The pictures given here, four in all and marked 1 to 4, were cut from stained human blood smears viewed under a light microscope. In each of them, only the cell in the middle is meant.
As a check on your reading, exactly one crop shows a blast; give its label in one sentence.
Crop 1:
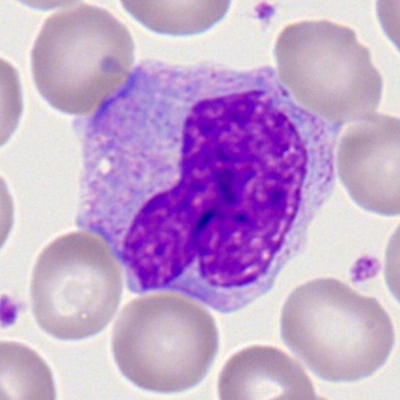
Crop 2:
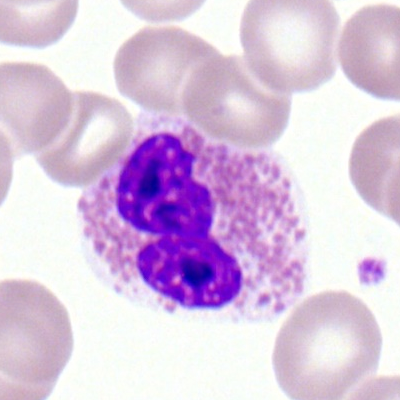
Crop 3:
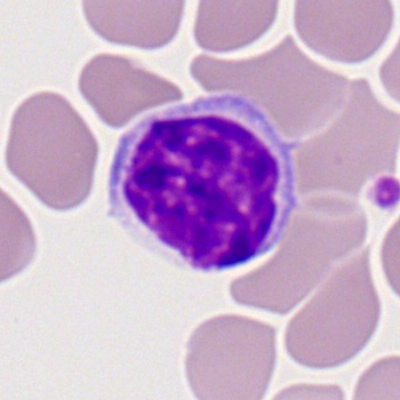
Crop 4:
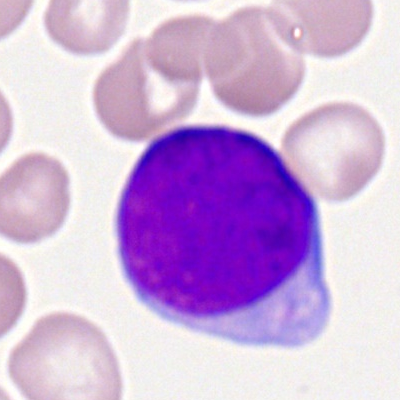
Crop 4 is the crop containing a blast.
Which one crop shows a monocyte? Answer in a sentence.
Crop 1 is the crop in which a monocyte is shown.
